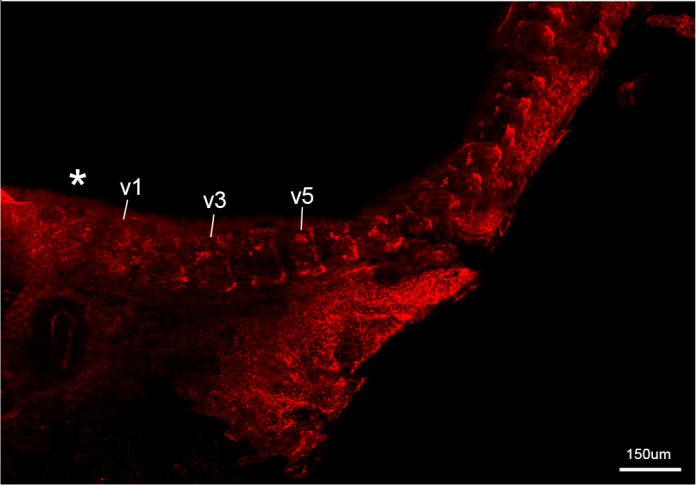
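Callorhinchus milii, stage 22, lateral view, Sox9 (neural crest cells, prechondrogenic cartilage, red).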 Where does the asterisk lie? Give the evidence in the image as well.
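Rear of developing braincase. The asterisk sits at the front end of the row of segmented units, where the head region begins.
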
